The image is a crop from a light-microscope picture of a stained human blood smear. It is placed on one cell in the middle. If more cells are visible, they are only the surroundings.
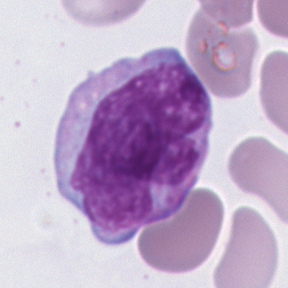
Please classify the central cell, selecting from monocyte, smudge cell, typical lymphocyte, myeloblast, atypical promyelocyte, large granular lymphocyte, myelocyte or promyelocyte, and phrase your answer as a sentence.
The target cell in the middle of the crop is an atypical promyelocyte.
